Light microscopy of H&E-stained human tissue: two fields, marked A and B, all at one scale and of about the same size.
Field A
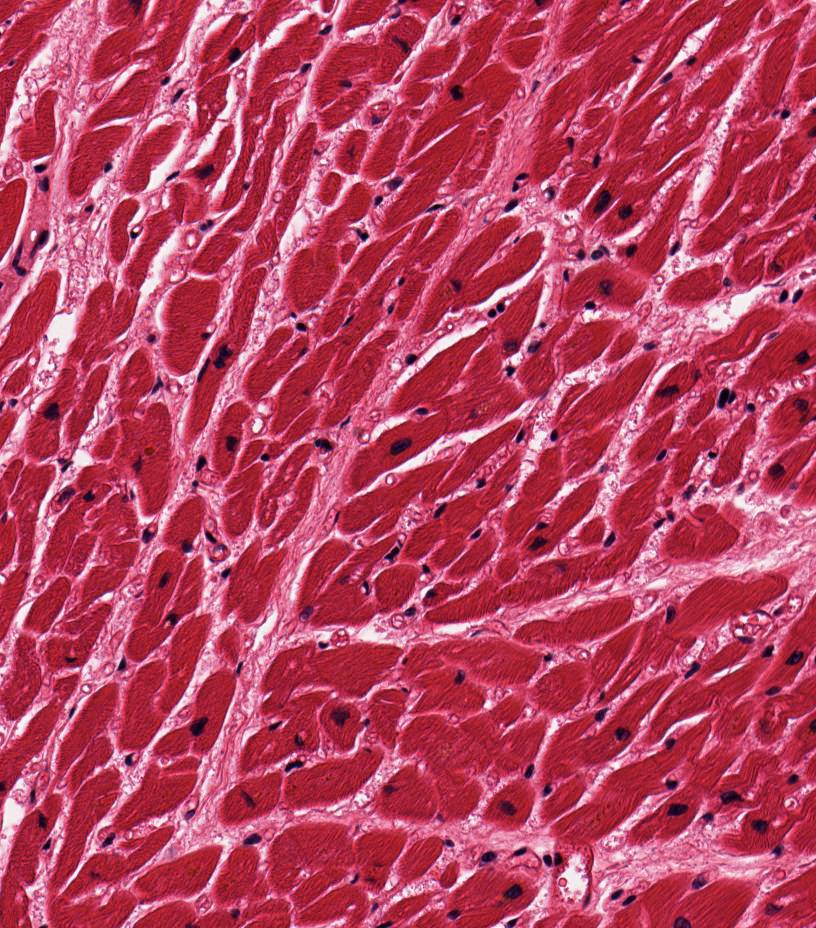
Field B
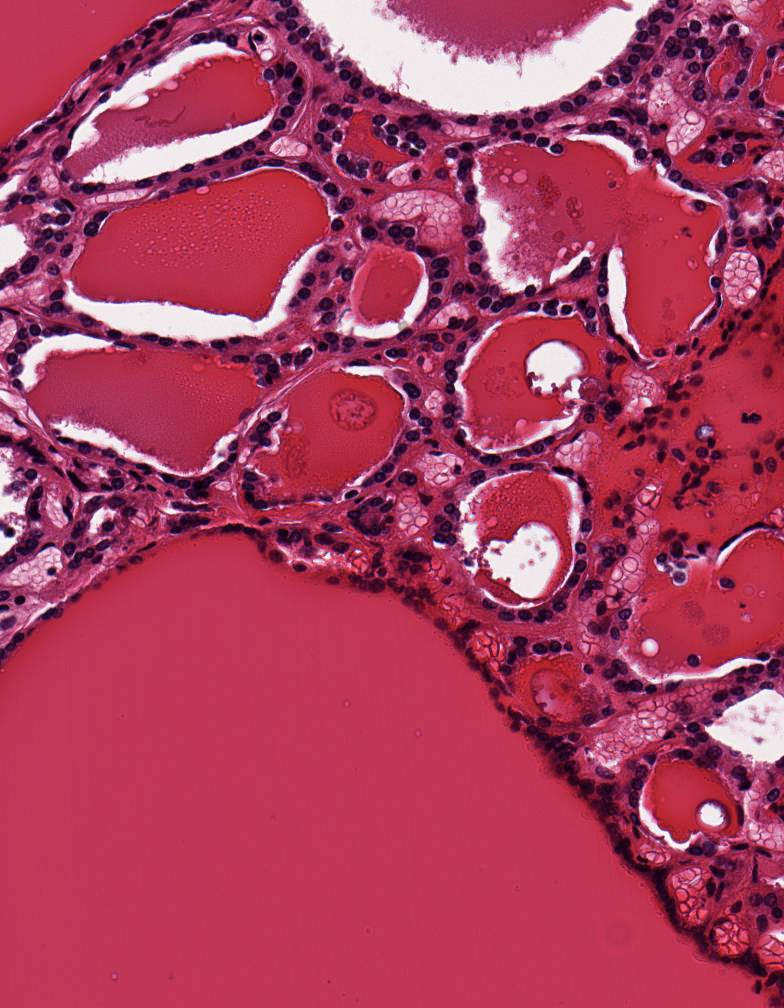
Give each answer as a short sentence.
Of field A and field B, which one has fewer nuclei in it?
There are fewer nuclei in field A.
